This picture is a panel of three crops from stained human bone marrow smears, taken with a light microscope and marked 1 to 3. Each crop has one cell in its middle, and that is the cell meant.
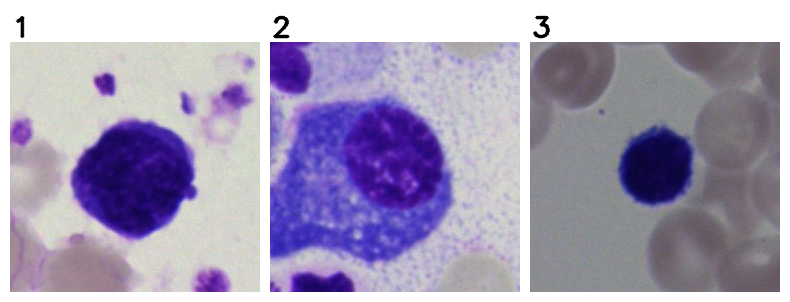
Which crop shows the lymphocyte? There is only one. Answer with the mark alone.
3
